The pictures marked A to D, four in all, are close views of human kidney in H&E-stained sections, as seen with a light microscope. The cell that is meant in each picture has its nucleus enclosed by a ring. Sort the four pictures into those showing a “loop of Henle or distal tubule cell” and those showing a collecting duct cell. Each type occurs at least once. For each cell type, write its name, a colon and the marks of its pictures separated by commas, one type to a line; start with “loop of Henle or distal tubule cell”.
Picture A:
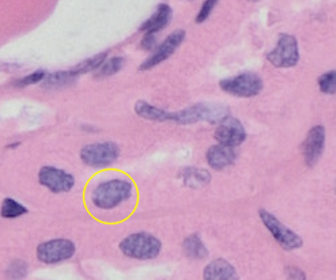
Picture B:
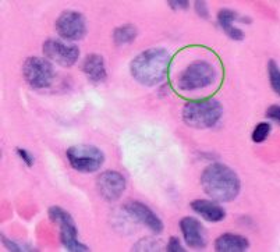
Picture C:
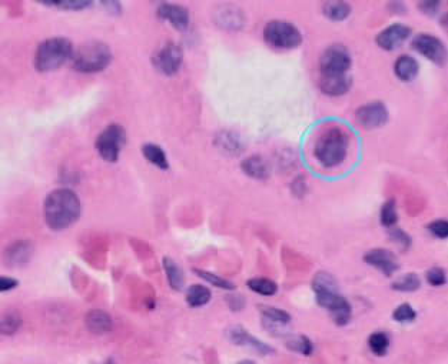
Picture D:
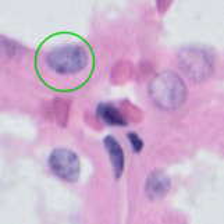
loop of Henle or distal tubule cell: A, C, D
collecting duct cell: B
